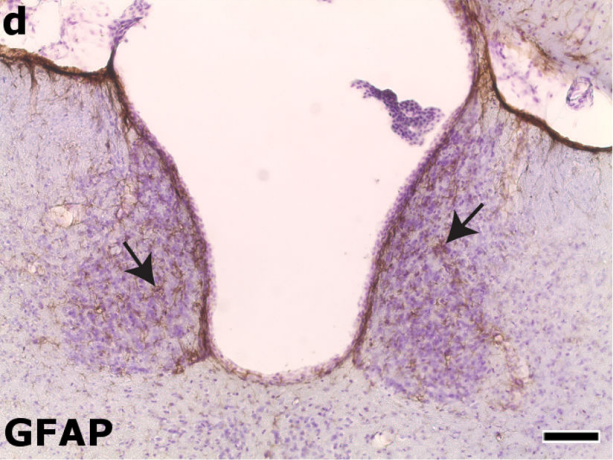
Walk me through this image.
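The large pale space in the centre is the ventricle; its walls carry a thick dark brown rim. On either side, a compact oval nucleus is crowded with small purple nuclei, far denser than the paler tissue below. Above, loose tissue with small clusters of cells lies over the ventricle, and a small tuft of cells floats in its lumen.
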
